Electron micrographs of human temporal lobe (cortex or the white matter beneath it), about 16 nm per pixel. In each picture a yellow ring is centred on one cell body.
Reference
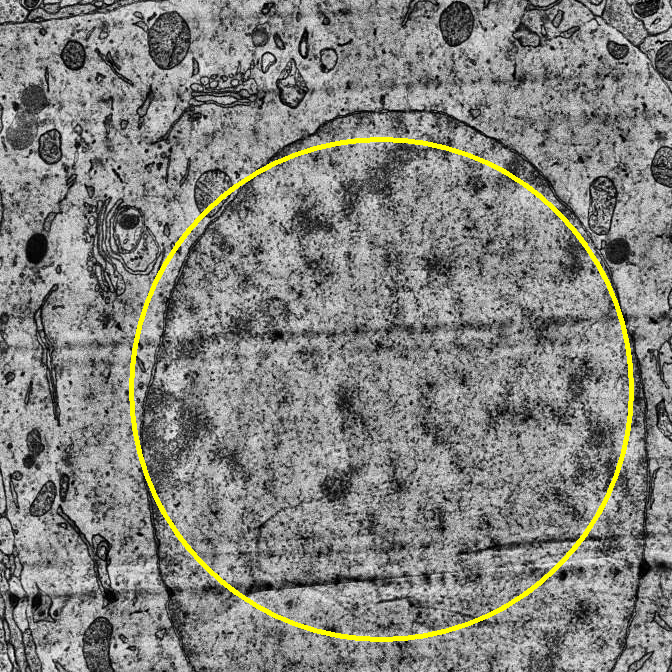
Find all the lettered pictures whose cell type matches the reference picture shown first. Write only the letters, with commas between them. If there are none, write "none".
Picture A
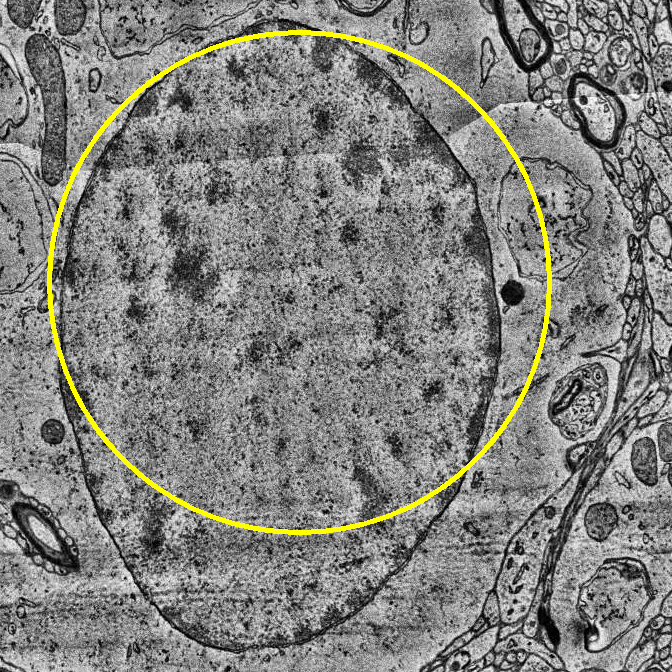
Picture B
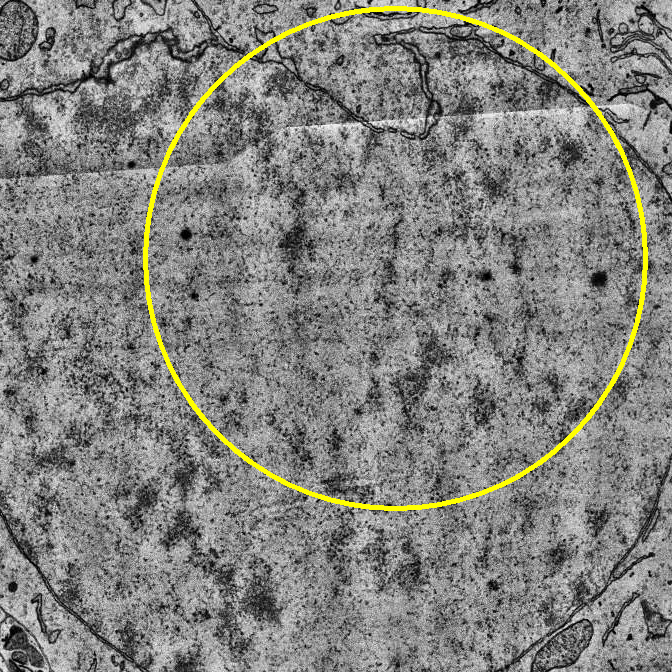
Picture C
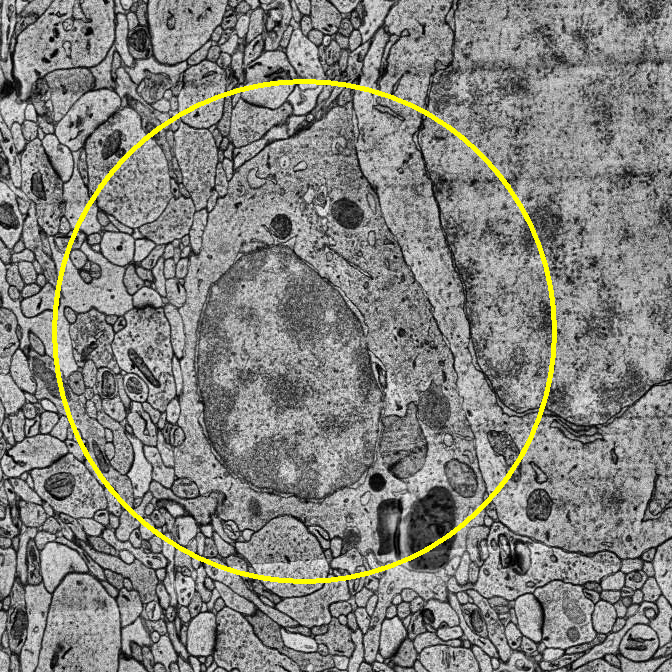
B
